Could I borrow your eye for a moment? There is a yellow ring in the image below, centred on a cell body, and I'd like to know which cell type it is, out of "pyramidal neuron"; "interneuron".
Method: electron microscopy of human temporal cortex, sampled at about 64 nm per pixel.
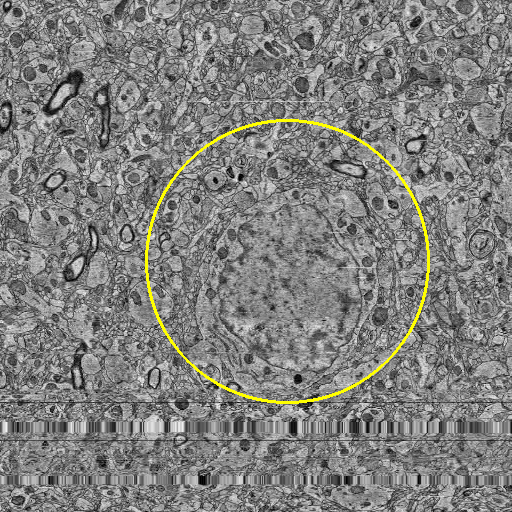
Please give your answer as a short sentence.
The cell body at the centre is that of an interneuron.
